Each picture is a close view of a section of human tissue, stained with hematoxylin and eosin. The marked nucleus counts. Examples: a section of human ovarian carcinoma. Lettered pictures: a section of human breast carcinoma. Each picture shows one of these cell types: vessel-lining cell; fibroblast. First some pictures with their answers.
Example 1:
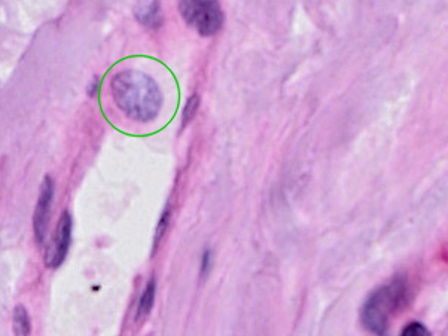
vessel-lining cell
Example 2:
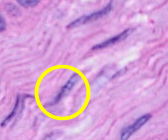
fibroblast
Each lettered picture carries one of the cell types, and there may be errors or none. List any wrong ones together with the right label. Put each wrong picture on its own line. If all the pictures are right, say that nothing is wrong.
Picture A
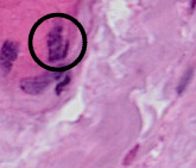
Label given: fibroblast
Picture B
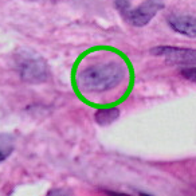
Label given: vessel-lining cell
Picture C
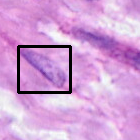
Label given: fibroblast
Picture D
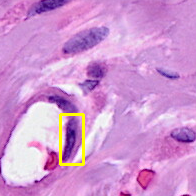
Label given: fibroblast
A: vessel-lining cell, not fibroblast
D: vessel-lining cell, not fibroblast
